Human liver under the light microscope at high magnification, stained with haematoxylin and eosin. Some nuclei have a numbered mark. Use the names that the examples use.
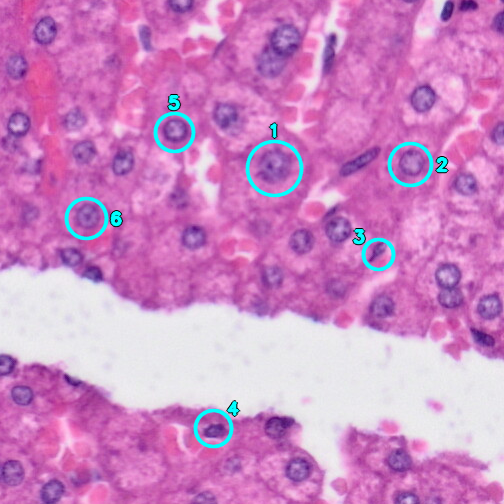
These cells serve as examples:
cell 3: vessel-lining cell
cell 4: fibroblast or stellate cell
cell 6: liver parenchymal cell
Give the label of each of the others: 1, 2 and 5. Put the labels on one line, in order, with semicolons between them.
liver parenchymal cell; liver parenchymal cell; liver parenchymal cell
